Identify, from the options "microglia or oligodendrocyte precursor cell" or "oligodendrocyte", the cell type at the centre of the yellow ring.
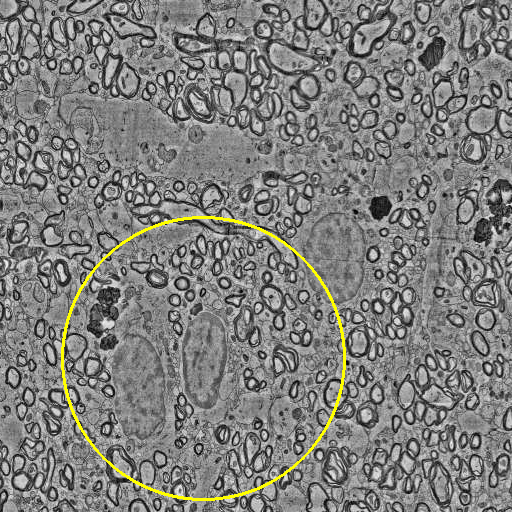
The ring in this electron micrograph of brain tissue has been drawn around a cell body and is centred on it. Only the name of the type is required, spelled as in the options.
microglia or oligodendrocyte precursor cell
